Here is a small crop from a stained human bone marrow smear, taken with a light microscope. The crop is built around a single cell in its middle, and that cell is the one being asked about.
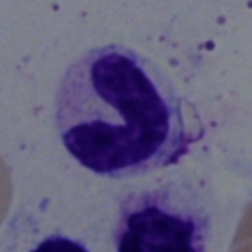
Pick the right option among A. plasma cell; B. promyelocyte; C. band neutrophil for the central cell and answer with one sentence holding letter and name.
The cell centred in the crop is a band neutrophil, and the correct option is thus C.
